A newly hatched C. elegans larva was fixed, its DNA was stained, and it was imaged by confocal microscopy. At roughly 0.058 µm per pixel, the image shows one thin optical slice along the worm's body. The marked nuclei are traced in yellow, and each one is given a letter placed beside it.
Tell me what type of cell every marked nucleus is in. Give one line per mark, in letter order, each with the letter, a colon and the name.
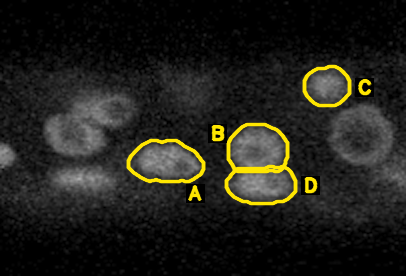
A: P cell (ventral epidermal blast cell)
B: seam cell
C: body wall muscle cell
D: body wall muscle cell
